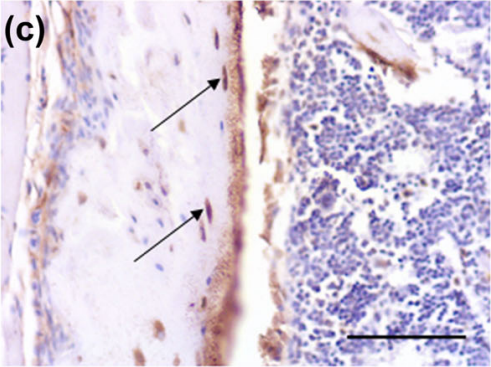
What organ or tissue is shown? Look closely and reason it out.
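A broad band of pale, dense, compact matrix with scattered isolated cells. Densely packed blood-forming marrow cells lie beside the compact band.
Hence: cortical bone.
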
